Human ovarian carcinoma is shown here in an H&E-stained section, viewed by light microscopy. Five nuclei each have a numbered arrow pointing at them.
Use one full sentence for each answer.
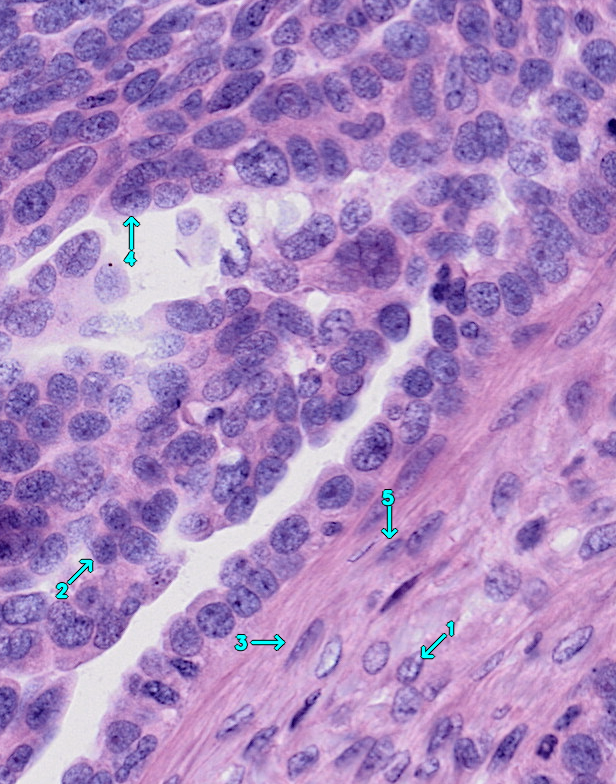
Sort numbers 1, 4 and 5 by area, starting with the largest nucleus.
From largest to smallest, the order is 4, 1, 5.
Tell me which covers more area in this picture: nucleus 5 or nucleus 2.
Number 2 is larger; its area is about 2 times that of number 5.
